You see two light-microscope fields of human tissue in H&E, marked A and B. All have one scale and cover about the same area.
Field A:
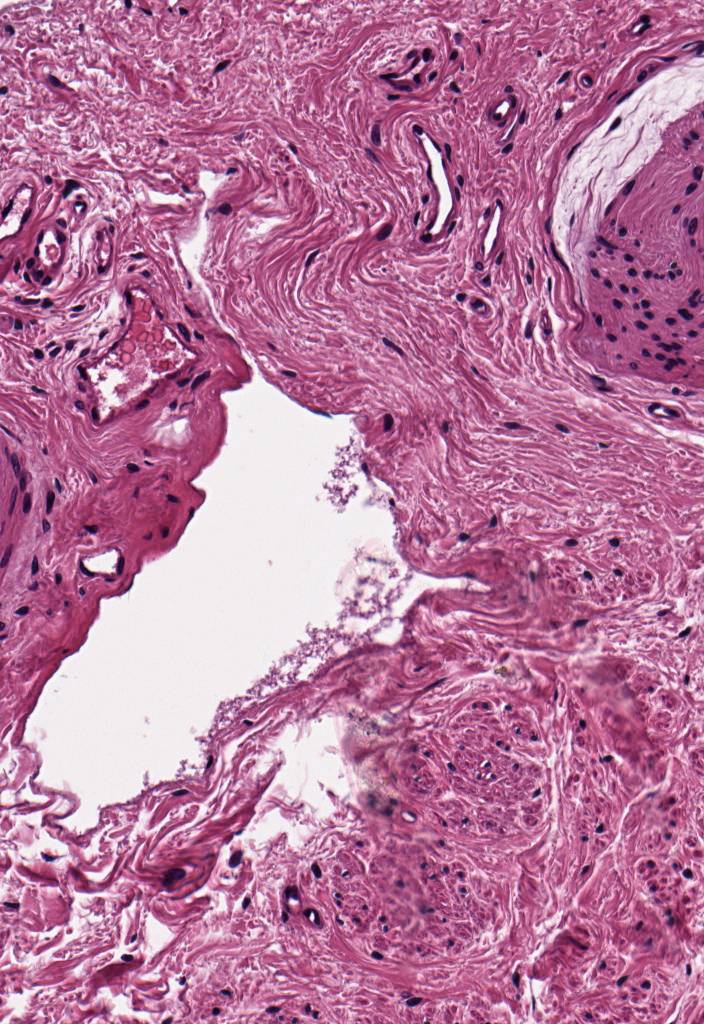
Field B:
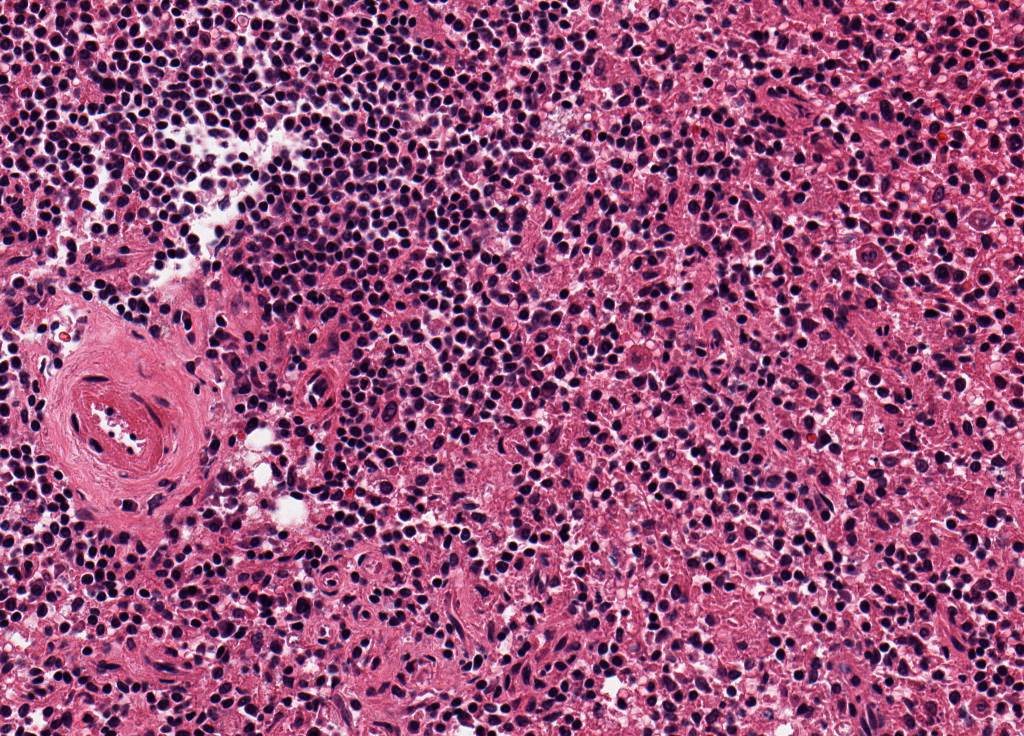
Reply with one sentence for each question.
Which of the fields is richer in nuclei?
It is field B that has more nuclei in it.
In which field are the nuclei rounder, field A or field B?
On the whole the nuclei of field B are rounder than those of field A.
